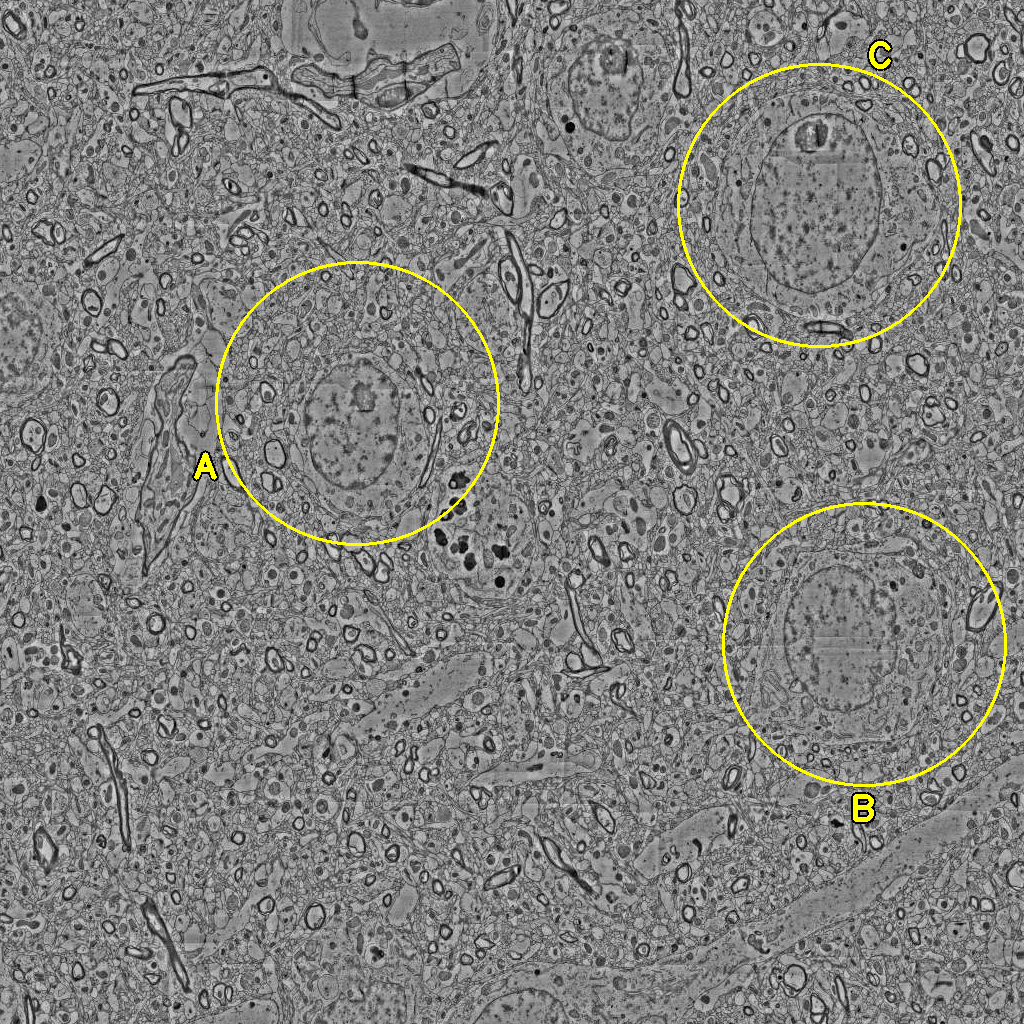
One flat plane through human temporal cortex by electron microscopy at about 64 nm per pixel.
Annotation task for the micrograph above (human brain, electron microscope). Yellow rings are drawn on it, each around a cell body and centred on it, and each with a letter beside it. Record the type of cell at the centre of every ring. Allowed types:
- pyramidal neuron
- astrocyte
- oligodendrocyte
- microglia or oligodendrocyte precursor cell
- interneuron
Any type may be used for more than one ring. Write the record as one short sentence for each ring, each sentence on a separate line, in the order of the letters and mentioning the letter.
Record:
The cell centred in ring A is an interneuron.
The cell centred in ring B is an interneuron.
The cell centred in ring C is a pyramidal neuron.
